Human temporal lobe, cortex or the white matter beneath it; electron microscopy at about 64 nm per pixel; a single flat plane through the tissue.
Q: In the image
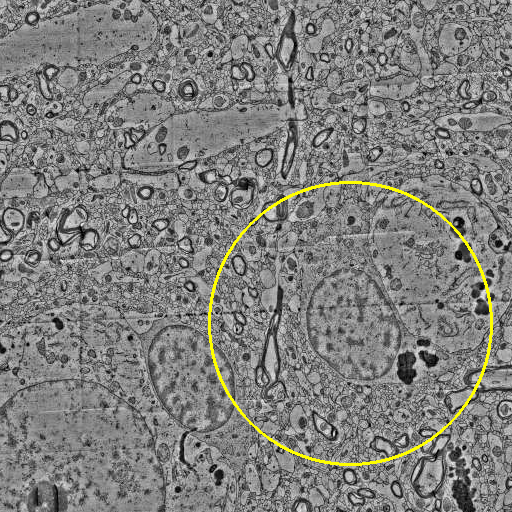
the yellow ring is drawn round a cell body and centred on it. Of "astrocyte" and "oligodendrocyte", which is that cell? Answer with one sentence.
The cell centred in the ring is an oligodendrocyte.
